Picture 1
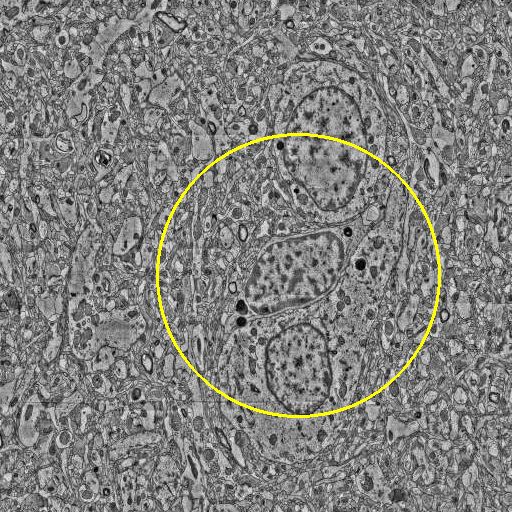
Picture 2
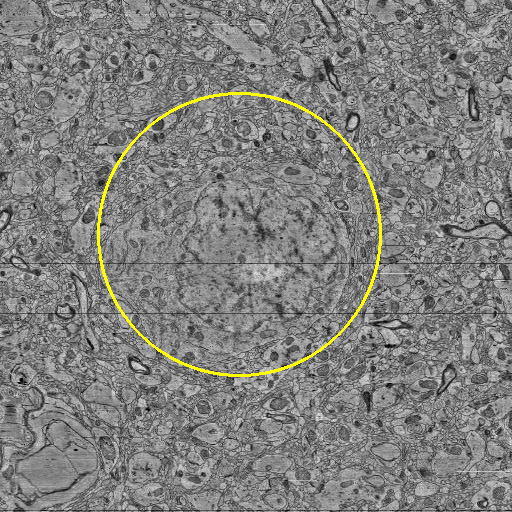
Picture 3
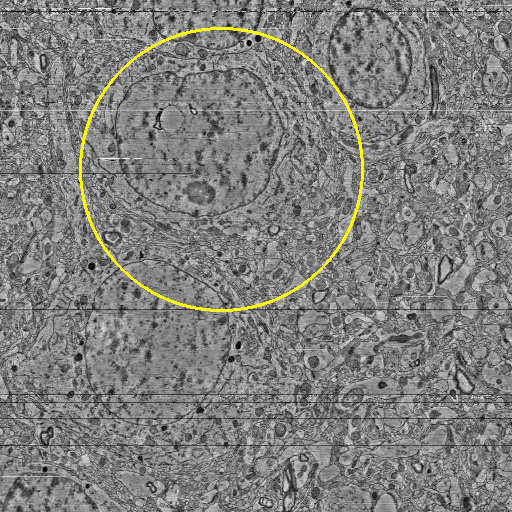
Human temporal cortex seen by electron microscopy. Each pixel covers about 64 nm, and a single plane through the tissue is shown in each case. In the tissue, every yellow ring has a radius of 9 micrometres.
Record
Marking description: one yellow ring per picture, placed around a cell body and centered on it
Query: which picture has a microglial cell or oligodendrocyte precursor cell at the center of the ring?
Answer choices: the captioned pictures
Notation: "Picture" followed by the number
Picture 1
